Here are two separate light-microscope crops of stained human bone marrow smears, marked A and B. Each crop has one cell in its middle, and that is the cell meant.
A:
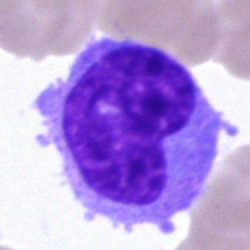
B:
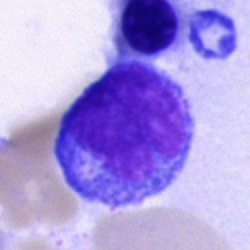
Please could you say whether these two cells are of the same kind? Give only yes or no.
yes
